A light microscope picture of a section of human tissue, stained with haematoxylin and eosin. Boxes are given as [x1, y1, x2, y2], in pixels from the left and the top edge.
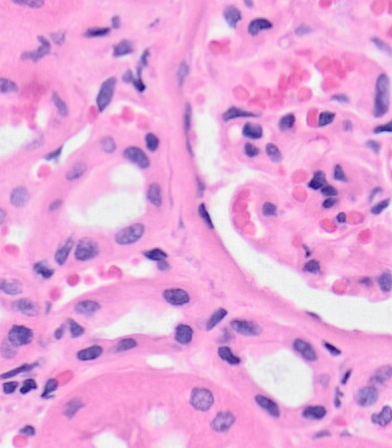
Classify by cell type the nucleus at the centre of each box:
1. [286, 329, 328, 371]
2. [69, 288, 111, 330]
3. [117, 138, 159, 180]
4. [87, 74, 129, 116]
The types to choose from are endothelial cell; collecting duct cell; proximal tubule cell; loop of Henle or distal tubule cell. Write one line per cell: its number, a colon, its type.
1: collecting duct cell
2: collecting duct cell
3: collecting duct cell
4: endothelial cell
